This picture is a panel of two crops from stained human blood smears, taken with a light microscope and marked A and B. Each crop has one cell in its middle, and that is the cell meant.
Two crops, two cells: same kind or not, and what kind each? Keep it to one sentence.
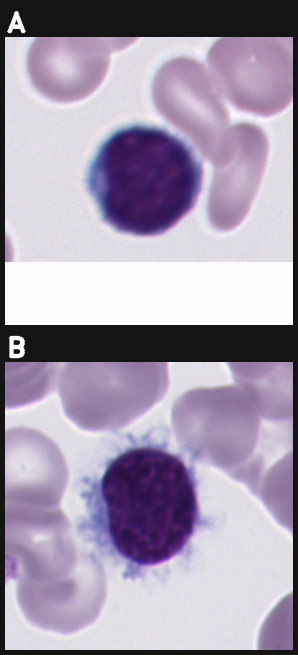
No, crop A contains a typical lymphocyte, and crop B contains a hairy cell.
